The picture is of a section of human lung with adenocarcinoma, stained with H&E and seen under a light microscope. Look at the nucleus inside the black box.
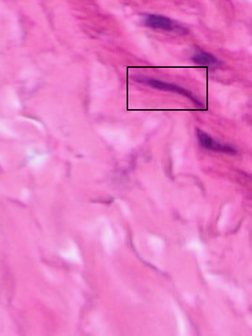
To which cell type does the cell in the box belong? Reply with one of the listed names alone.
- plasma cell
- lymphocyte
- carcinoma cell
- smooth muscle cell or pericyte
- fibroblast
smooth muscle cell or pericyte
